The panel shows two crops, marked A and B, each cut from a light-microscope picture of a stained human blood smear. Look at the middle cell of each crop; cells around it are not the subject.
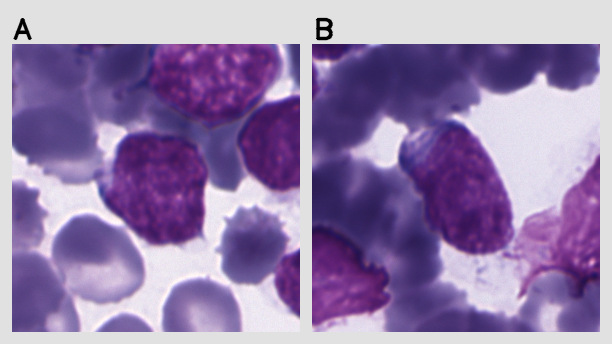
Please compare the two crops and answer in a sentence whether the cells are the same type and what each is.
Yes, these two crops both show myeloblasts.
